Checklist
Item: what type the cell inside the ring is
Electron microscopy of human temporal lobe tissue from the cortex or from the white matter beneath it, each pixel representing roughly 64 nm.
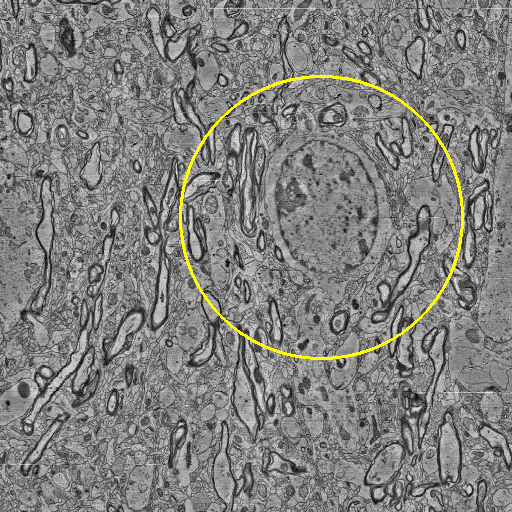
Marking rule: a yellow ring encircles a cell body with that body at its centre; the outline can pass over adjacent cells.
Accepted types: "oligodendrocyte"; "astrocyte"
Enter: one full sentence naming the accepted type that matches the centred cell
The entry is that an astrocyte lies at the centre of the yellow ring.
